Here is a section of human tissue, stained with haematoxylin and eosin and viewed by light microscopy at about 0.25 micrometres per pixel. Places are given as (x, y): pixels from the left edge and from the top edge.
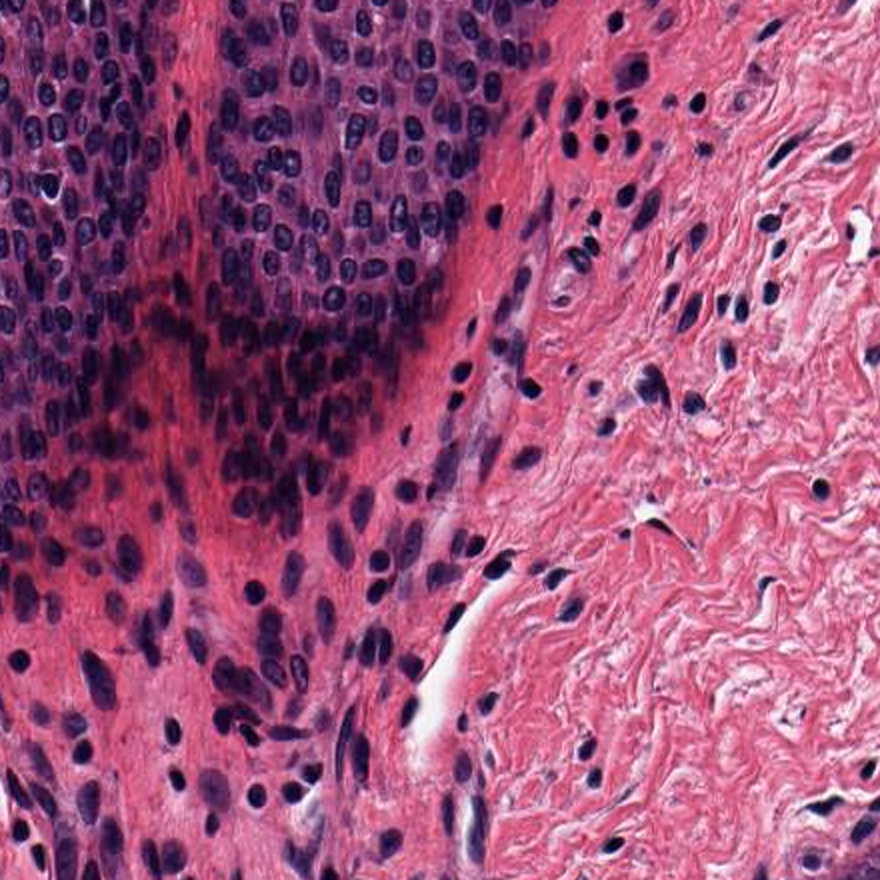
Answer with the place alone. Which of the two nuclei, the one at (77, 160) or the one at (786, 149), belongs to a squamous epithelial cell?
(77, 160)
